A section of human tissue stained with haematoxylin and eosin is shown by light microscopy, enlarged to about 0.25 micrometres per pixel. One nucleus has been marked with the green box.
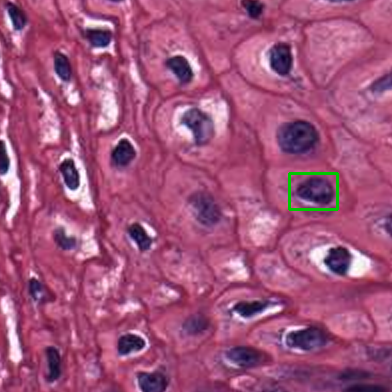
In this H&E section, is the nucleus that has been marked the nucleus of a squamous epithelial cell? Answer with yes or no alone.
yes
